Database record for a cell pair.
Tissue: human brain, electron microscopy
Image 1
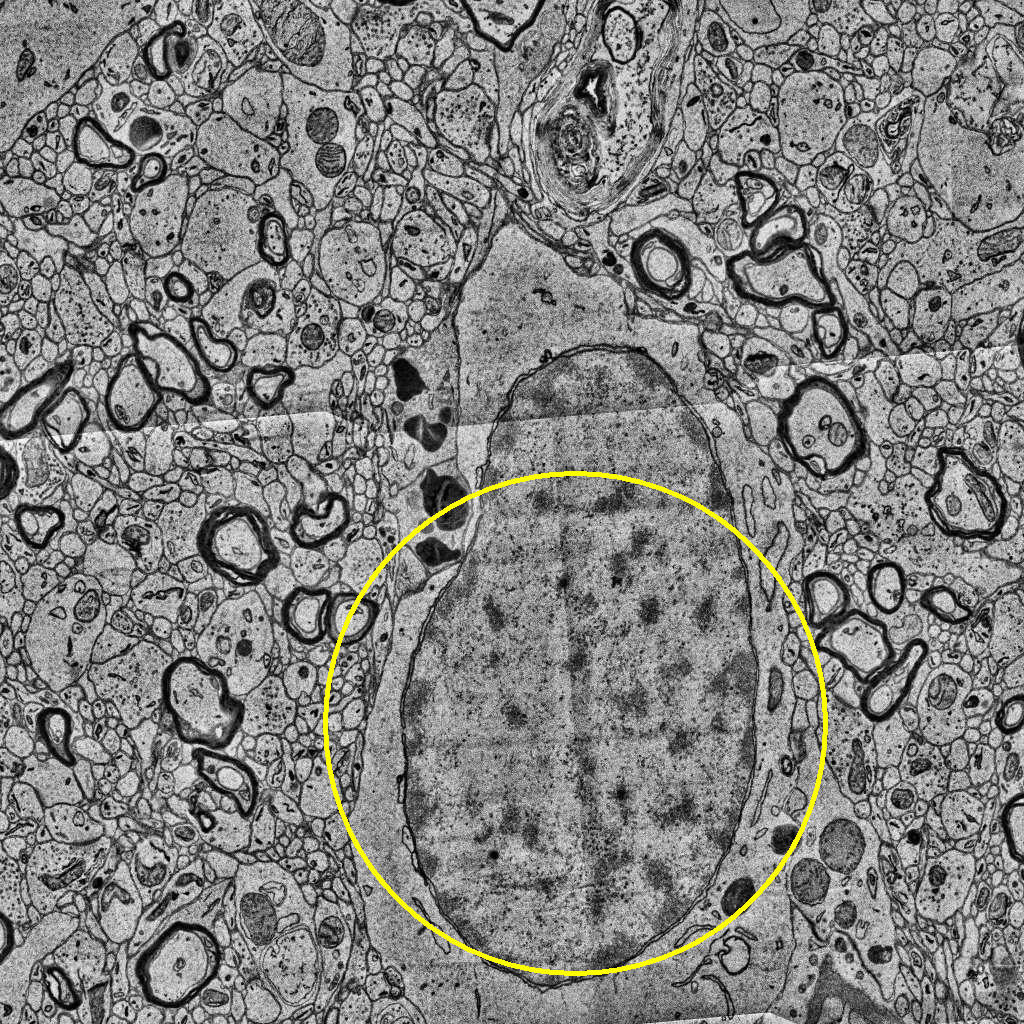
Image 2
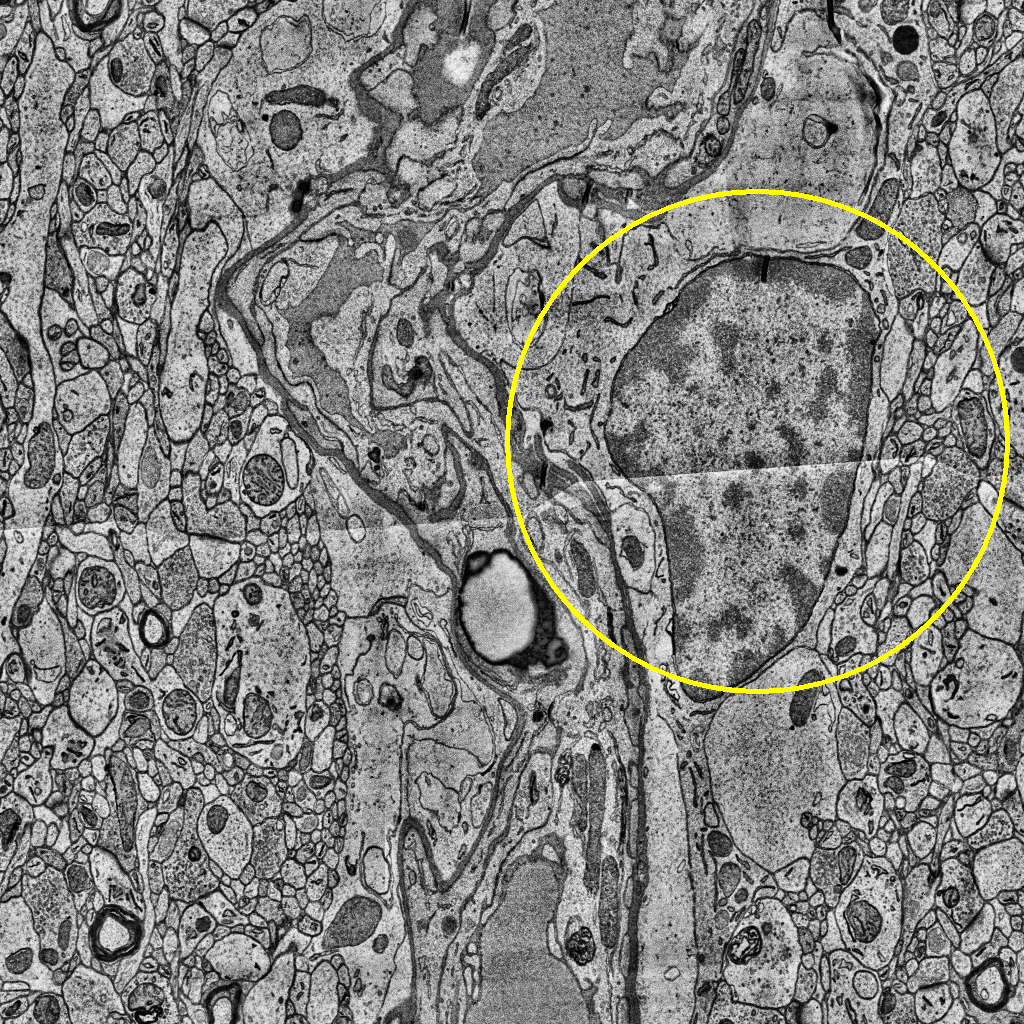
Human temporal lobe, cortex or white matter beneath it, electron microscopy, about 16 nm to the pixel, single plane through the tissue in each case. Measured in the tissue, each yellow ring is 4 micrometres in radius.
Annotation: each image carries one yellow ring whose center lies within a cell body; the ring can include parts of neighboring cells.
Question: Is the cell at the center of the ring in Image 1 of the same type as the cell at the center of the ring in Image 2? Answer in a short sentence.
Yes, the cells are of the same type.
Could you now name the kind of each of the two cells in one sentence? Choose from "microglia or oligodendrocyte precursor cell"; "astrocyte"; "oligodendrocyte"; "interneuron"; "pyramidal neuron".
Both rings mark a microglial cell or oligodendrocyte precursor cell, one in each picture.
